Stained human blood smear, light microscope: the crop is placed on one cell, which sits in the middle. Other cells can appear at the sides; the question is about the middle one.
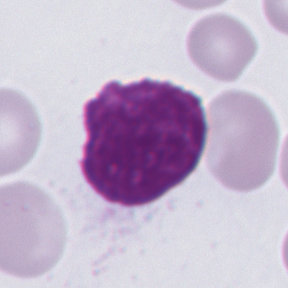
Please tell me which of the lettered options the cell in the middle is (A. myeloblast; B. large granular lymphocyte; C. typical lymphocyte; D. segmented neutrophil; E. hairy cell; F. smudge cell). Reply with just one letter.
F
